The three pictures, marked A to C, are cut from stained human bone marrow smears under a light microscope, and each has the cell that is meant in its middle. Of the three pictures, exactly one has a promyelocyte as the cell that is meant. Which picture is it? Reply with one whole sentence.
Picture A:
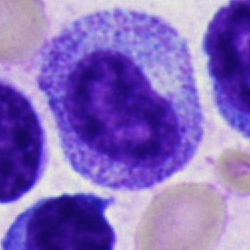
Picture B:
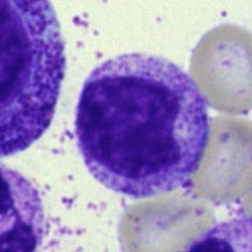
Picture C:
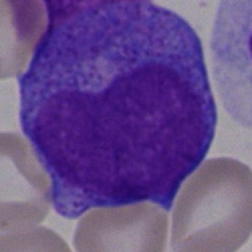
The cell in picture C is the promyelocyte.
